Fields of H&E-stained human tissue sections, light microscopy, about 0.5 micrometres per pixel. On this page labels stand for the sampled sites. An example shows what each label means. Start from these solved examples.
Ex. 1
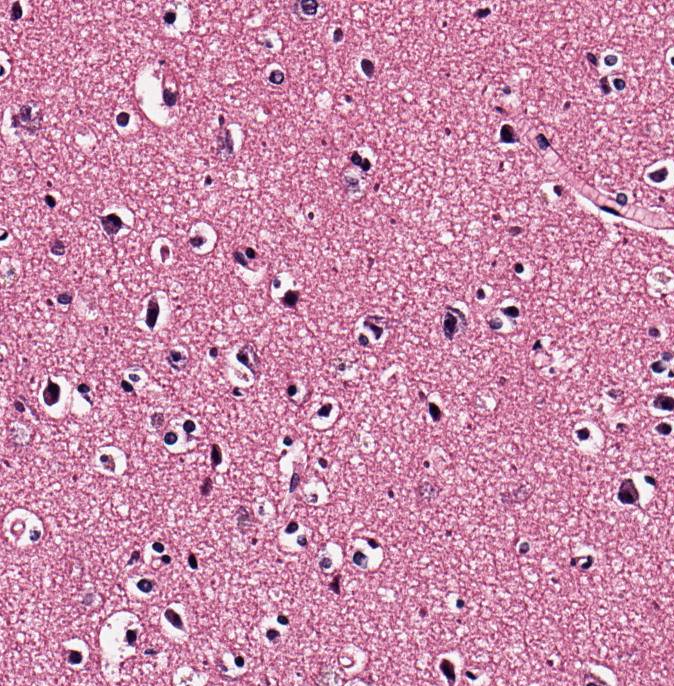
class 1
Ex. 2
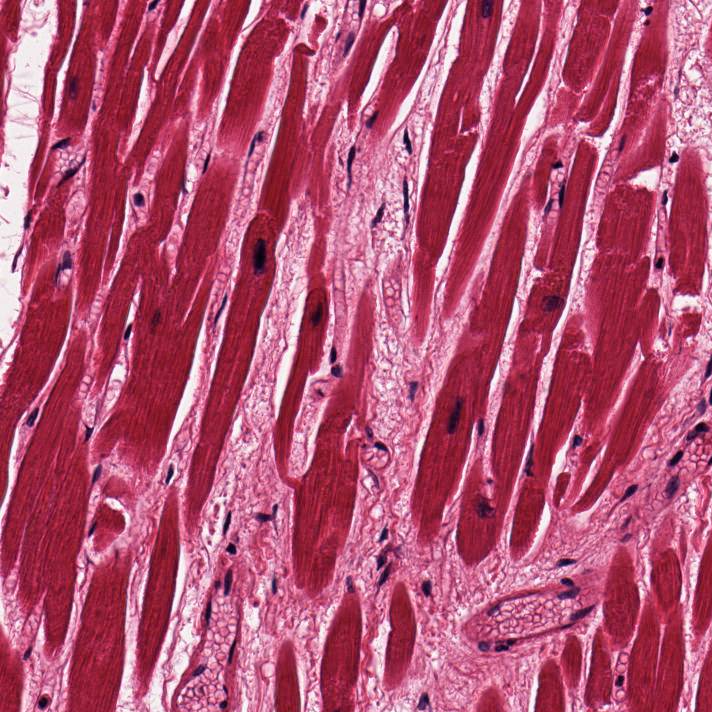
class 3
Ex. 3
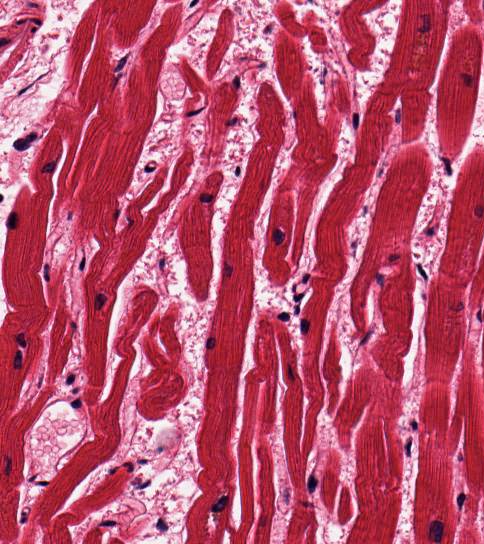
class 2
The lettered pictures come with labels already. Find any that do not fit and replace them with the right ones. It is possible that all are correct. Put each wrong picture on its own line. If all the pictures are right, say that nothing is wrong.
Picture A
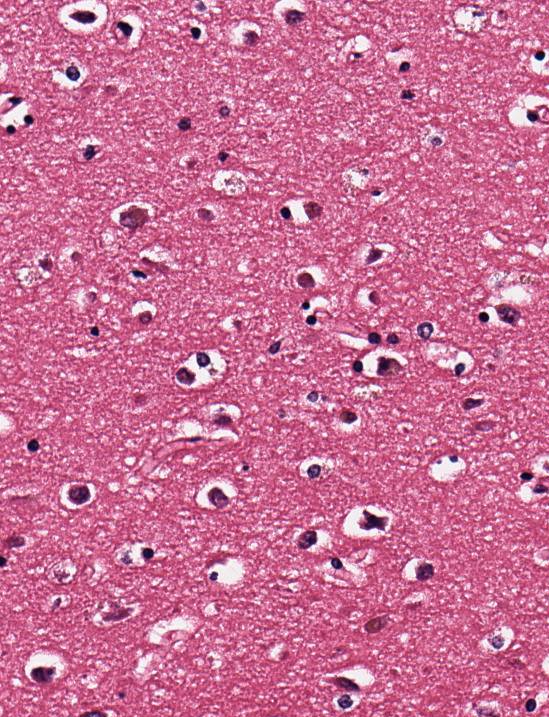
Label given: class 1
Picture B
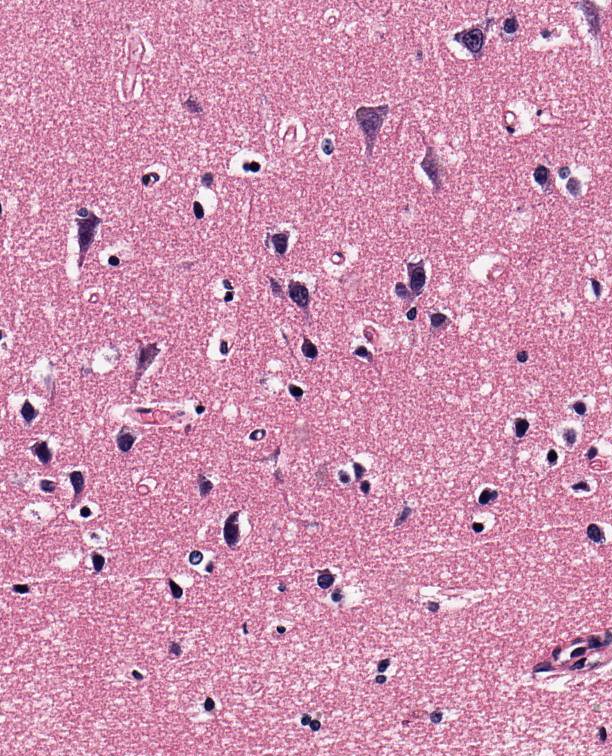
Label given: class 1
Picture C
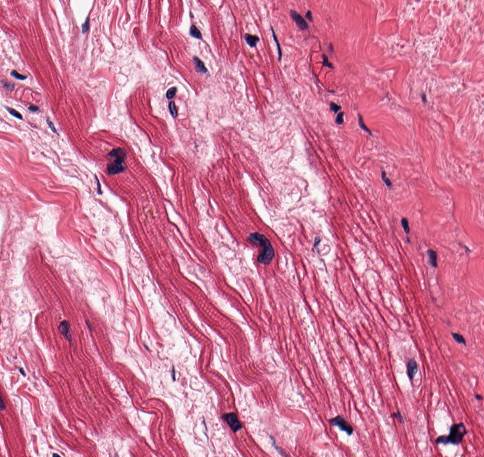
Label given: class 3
All correct.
